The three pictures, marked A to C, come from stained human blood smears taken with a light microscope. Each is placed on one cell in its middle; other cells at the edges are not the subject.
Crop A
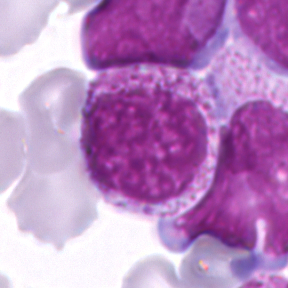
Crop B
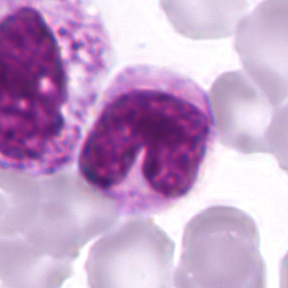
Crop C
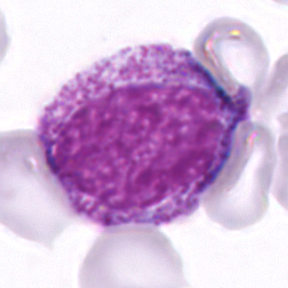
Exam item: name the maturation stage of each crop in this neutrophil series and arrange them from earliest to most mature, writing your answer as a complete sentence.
The arrangement from least to most mature is crop C (a promyelocyte), crop A (a myelocyte) and crop B (a band neutrophil).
